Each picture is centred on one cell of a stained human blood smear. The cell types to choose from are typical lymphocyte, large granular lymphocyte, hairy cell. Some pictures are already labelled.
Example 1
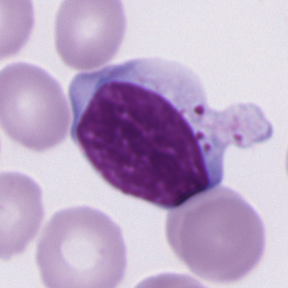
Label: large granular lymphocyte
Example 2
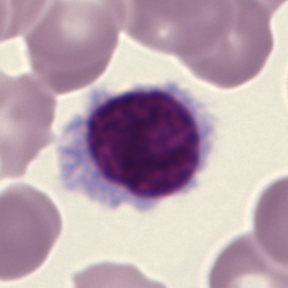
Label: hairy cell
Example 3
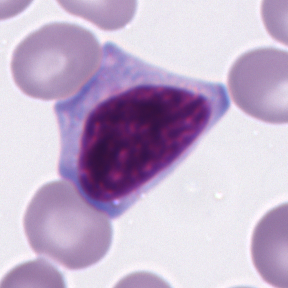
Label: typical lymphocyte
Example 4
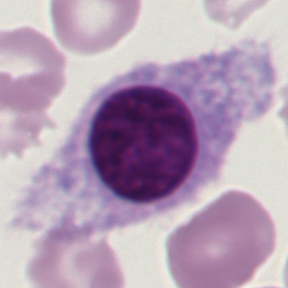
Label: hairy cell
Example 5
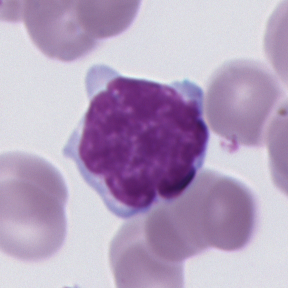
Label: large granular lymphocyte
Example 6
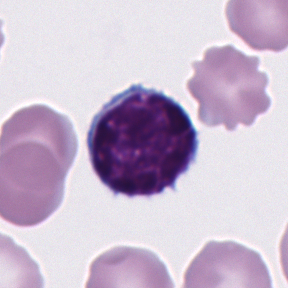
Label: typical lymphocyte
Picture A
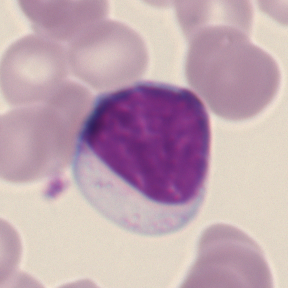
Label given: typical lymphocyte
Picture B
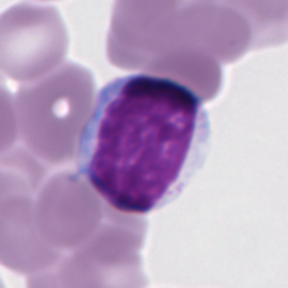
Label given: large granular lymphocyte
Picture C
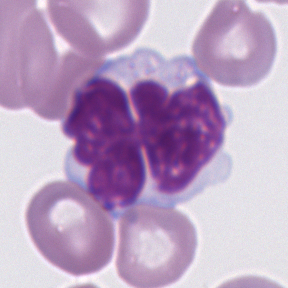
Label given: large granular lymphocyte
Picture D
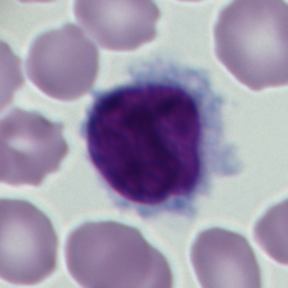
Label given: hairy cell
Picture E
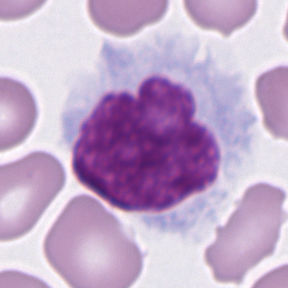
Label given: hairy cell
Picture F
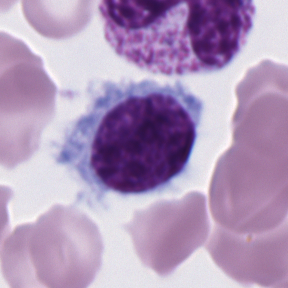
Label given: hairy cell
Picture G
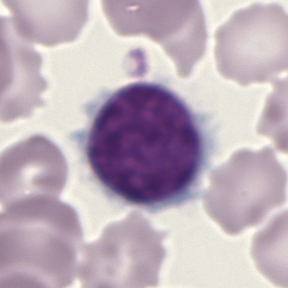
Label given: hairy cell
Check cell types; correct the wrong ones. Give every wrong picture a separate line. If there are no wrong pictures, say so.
A: large granular lymphocyte, not typical lymphocyte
